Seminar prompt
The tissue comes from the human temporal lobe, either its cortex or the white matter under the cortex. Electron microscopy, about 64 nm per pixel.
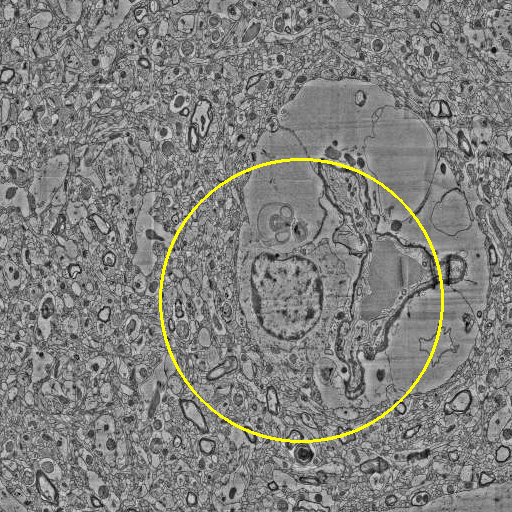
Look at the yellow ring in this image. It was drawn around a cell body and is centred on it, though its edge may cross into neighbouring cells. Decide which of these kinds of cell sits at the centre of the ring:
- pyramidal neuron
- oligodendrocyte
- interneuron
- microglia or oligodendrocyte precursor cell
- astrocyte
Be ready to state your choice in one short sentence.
The kind of cell at the ring's centre is a microglial cell or oligodendrocyte precursor cell.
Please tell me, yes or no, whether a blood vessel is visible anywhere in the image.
Yes, one appears.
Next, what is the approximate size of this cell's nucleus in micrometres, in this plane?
Approximately 6 by 5 micrometers in this plane.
